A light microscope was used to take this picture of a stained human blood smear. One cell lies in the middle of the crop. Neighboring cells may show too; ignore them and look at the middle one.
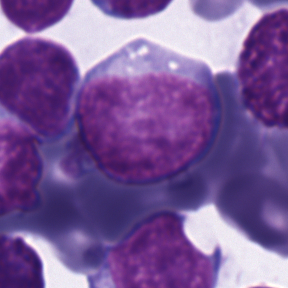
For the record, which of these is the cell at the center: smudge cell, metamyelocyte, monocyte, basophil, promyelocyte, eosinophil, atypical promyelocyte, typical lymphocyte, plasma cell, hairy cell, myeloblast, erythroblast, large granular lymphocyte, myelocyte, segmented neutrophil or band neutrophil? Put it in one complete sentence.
The cell positioned in the middle of the field is a myeloblast.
